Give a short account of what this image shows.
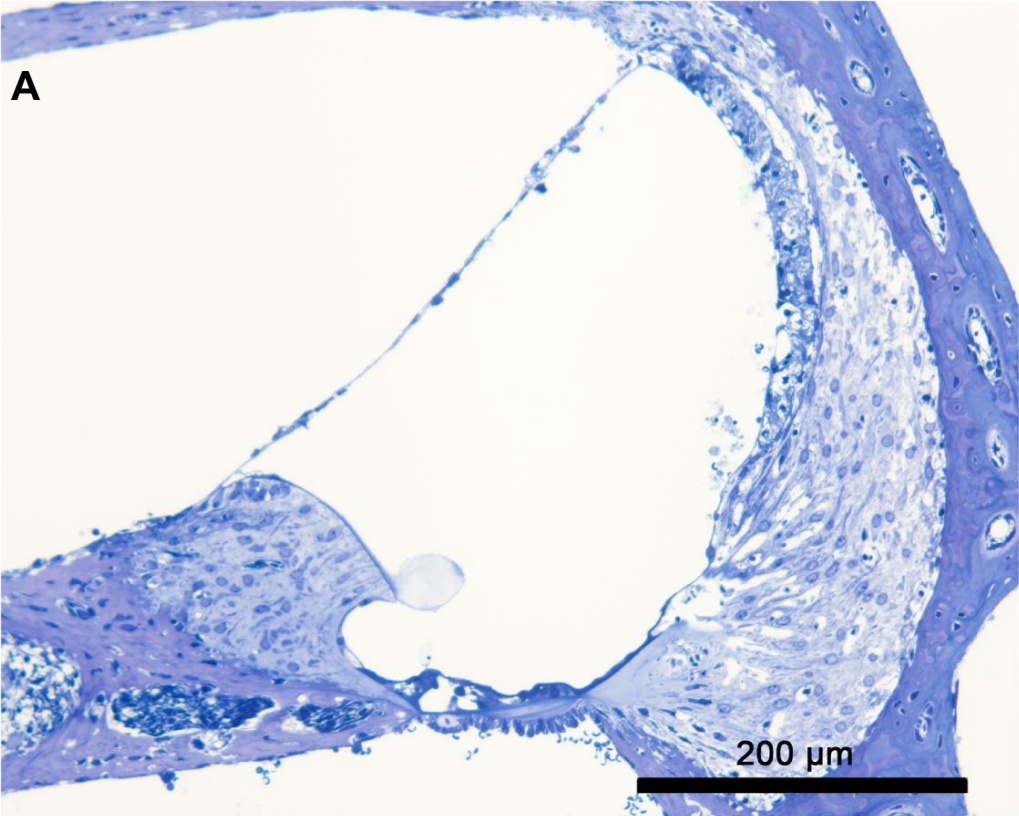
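Cross-section through the cochlear duct, a triangular fluid-filled space roofed by a very thin diagonal membrane, floored by the organ of Corti on a thin membrane, and walled laterally by a thick, pale spiral ligament lined on its inner face by a darker, densely cellular stria vascularis. On the left a cellular spiral limbus bears a small pale tectorial membrane overhanging the sensory epithelium, and darkly stained nerve bundles run beneath it. The lateral wall is enclosed by blue-purple bone containing osteocytes and vascular canals.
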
